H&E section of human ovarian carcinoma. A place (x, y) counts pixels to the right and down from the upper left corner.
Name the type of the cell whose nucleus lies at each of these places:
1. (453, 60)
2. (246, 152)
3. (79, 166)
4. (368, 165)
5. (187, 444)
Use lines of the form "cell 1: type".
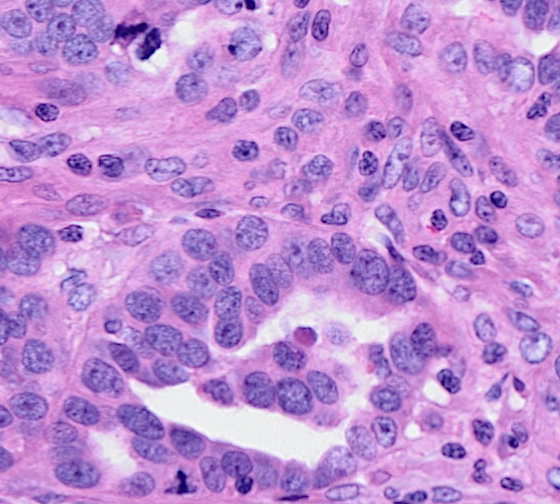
cell 1: fibroblast
cell 2: lymphocyte
cell 3: lymphocyte
cell 4: lymphocyte
cell 5: carcinoma cell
